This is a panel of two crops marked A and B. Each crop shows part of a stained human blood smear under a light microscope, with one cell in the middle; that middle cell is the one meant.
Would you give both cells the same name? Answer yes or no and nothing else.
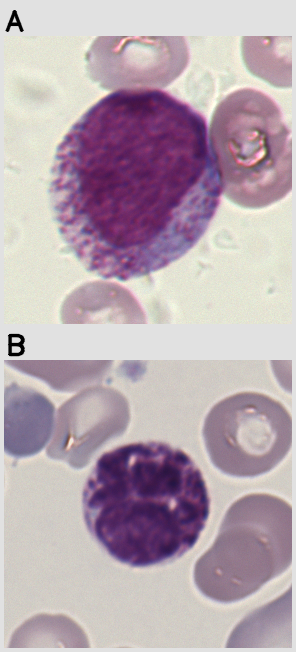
no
